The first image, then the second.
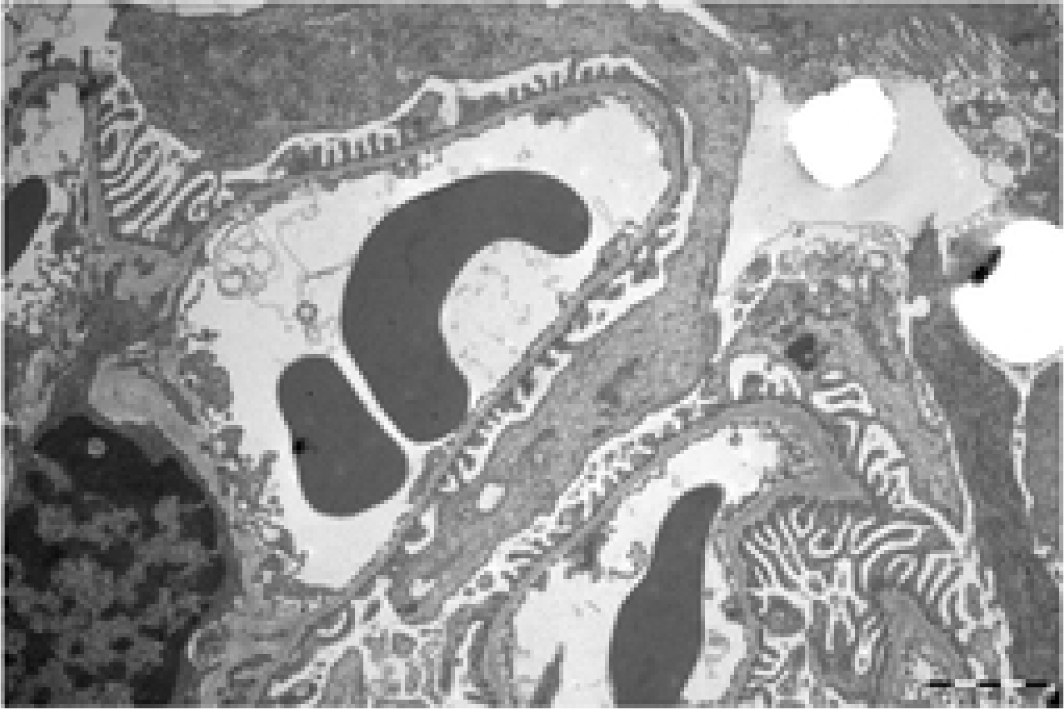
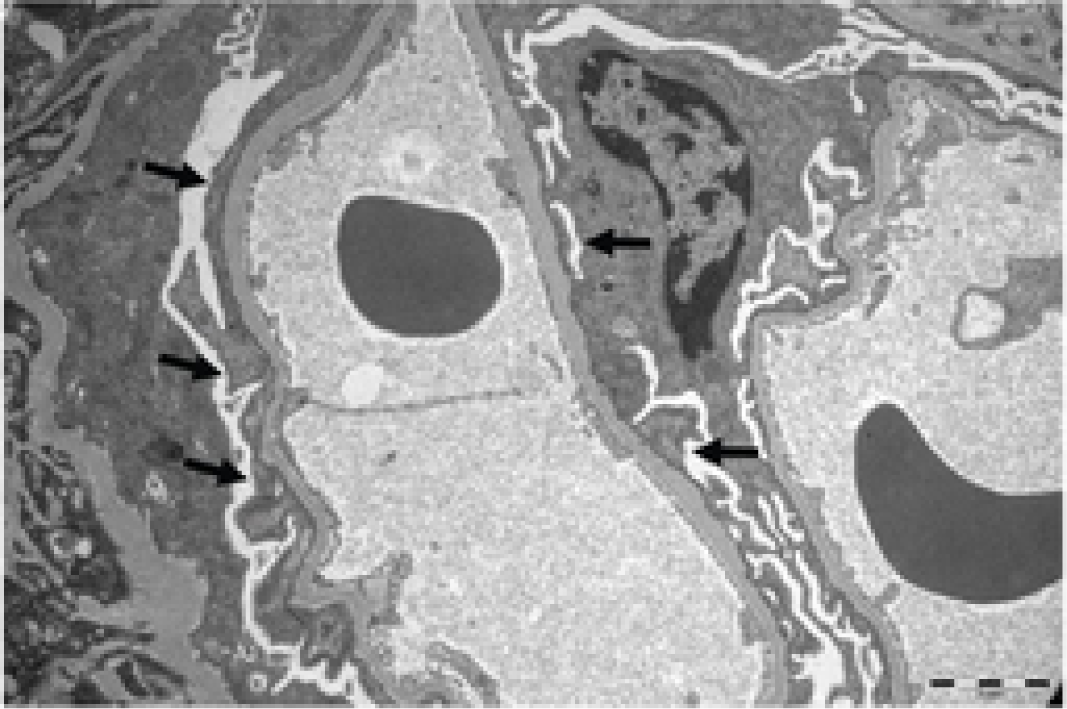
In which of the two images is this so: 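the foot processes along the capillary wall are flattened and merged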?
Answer: the second image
